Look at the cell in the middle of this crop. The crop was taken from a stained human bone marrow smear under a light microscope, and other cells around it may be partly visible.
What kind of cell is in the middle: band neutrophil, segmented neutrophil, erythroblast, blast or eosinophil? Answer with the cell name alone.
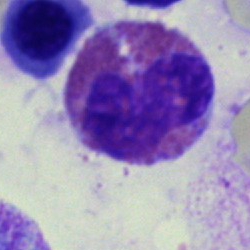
eosinophil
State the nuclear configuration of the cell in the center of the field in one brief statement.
You can count two or more lobes in this nucleus.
